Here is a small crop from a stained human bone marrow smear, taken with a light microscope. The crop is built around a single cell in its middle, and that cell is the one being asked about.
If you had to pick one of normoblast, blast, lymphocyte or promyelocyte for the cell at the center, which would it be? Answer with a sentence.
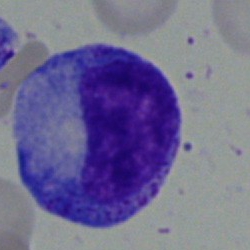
By classification, the middle cell of this crop is a promyelocyte.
